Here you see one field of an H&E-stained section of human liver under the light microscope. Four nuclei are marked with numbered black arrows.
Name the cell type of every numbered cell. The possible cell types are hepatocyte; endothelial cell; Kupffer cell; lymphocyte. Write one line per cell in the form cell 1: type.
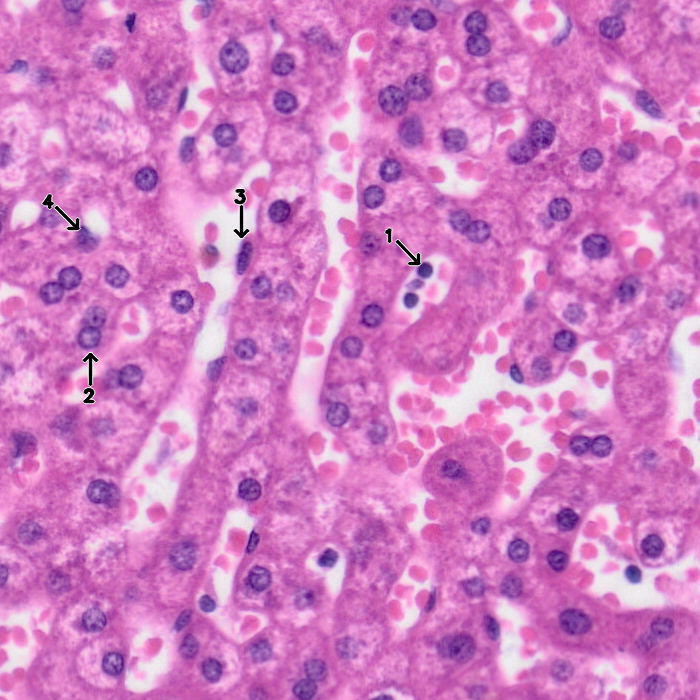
cell 1: lymphocyte
cell 2: hepatocyte
cell 3: Kupffer cell
cell 4: endothelial cell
